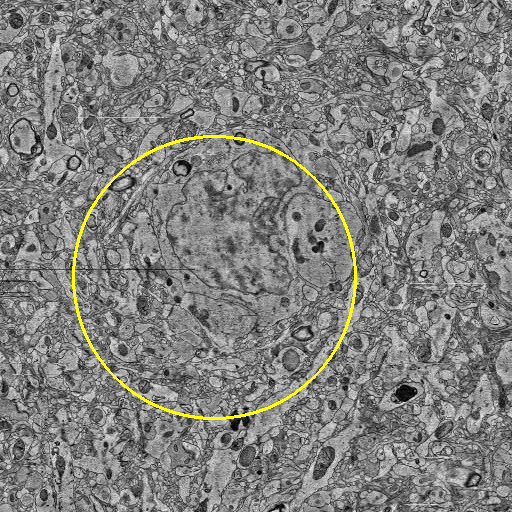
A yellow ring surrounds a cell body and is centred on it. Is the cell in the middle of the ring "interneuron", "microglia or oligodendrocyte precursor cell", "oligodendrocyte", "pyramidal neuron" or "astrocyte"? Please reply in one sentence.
The ring is centred on an interneuron.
